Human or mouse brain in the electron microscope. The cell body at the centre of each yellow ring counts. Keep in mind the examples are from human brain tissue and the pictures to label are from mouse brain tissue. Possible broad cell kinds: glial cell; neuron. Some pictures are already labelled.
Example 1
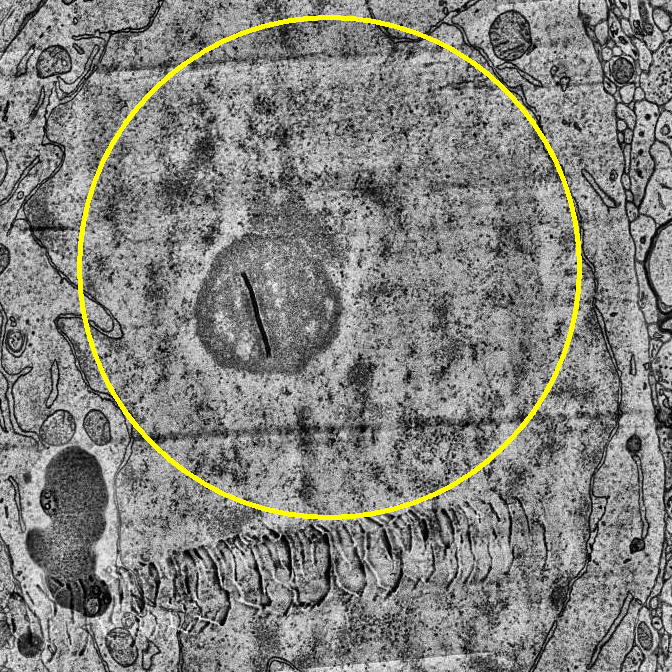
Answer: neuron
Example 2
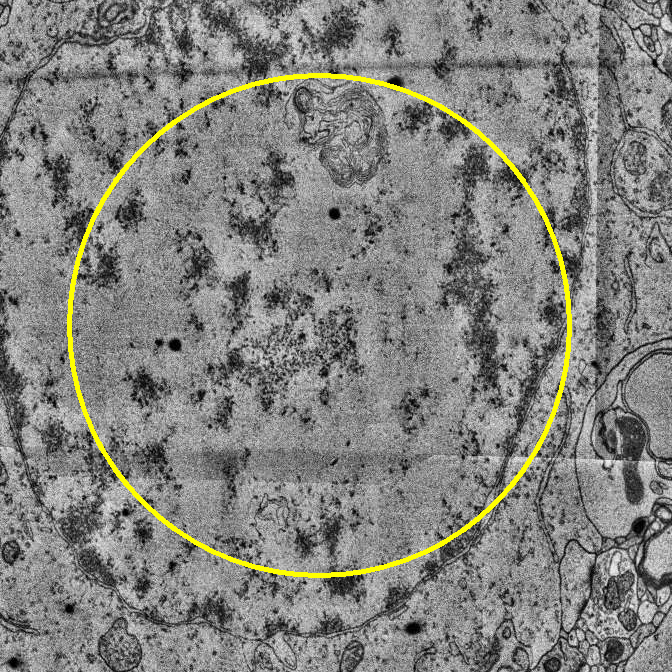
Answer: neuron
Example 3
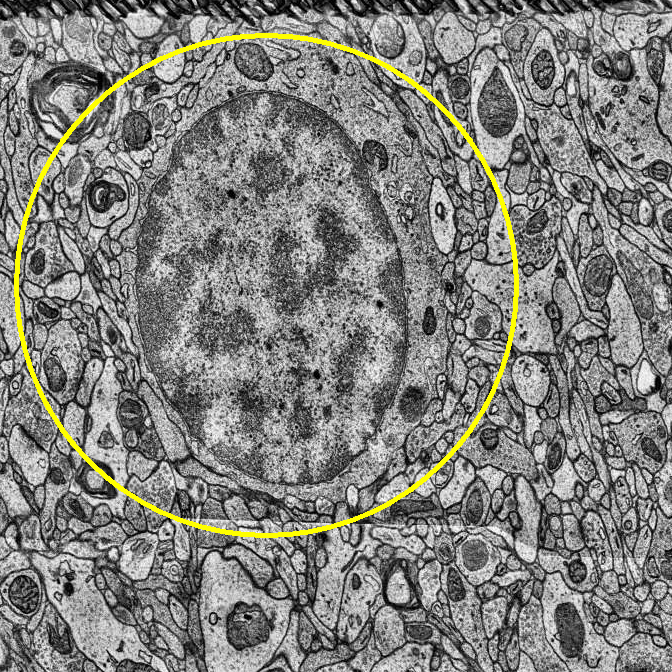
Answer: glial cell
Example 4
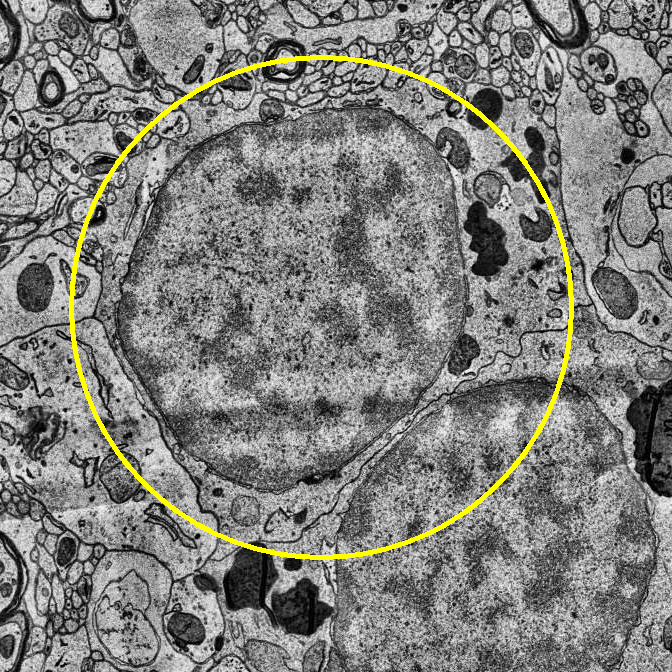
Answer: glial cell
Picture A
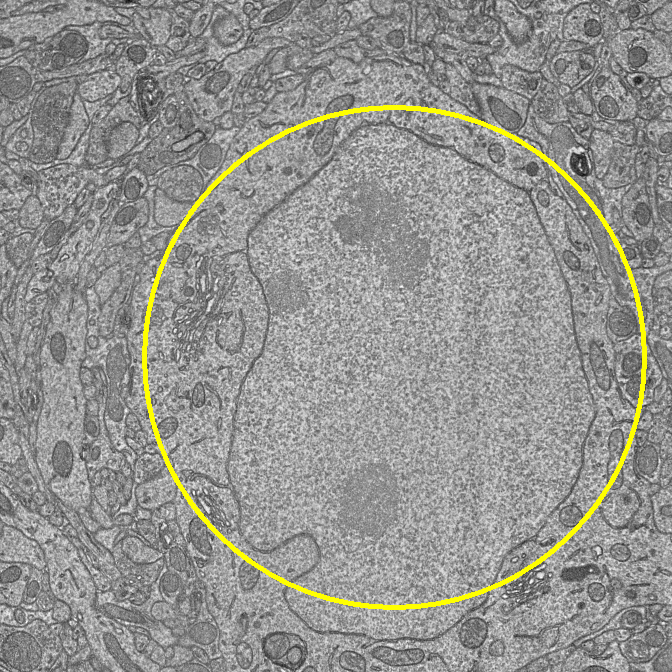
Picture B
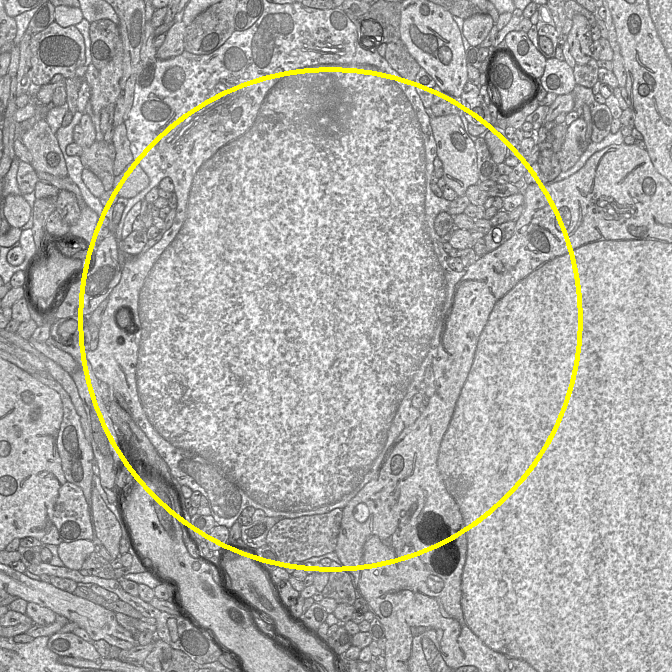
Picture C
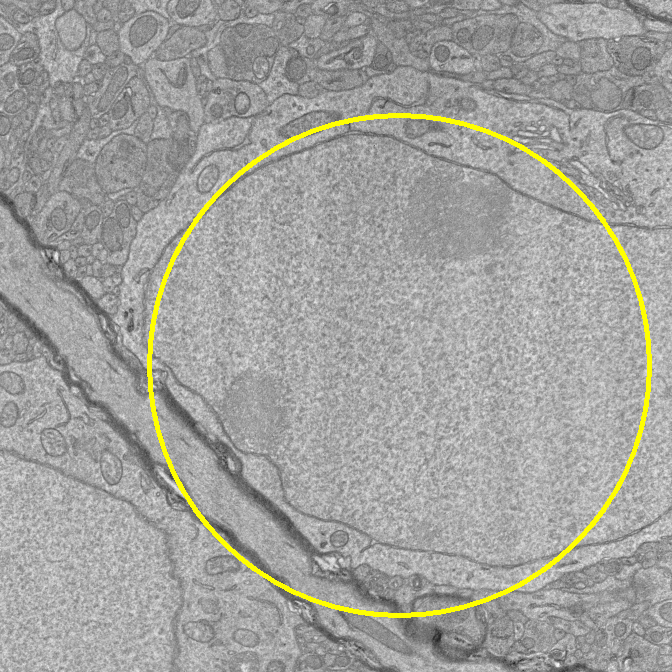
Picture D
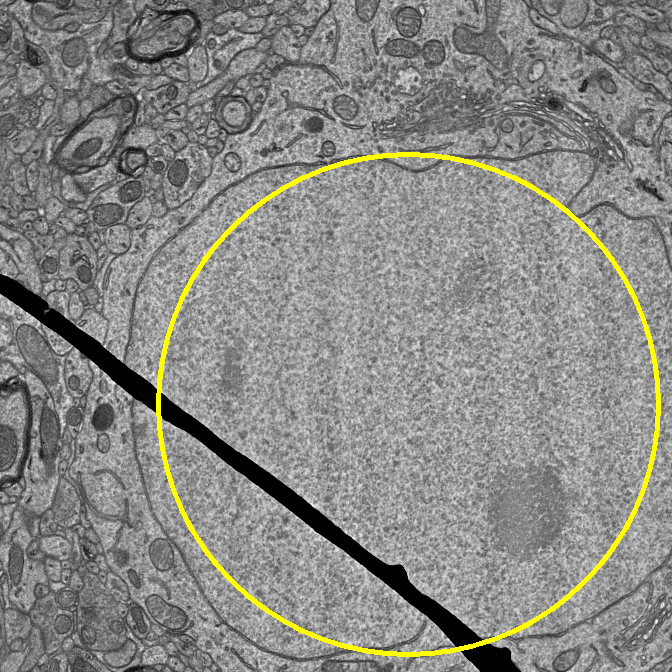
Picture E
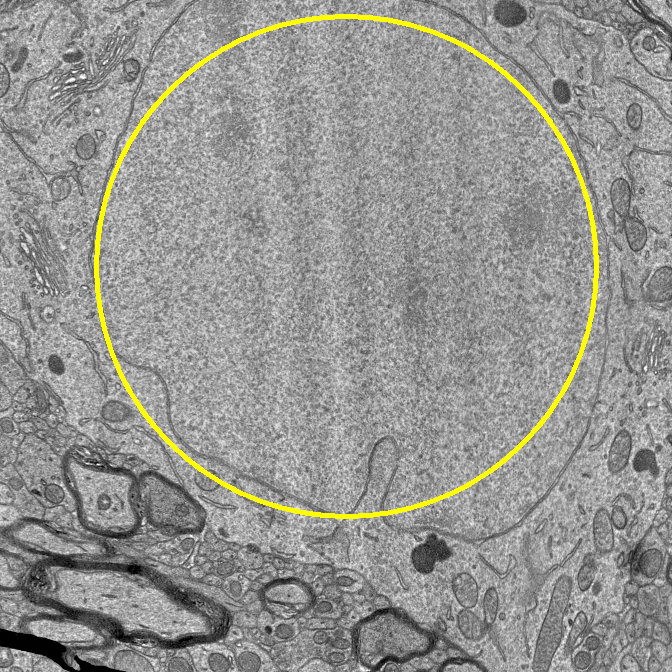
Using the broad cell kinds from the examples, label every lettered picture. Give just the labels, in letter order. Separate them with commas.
neuron, glial cell, neuron, neuron, neuron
